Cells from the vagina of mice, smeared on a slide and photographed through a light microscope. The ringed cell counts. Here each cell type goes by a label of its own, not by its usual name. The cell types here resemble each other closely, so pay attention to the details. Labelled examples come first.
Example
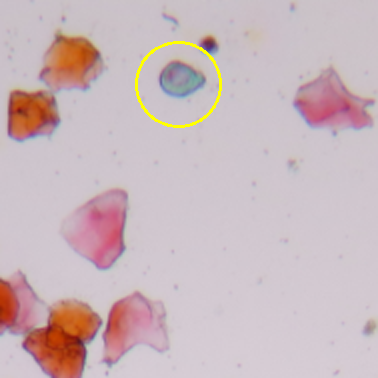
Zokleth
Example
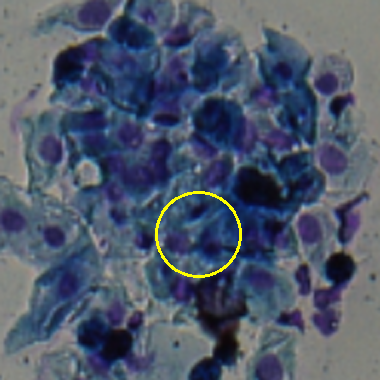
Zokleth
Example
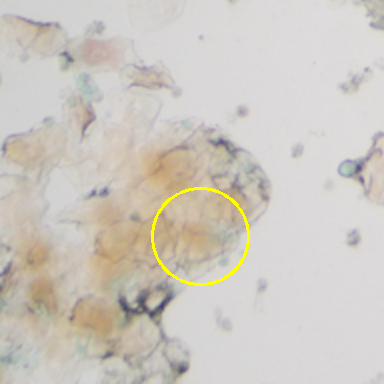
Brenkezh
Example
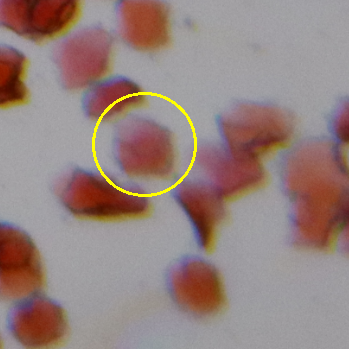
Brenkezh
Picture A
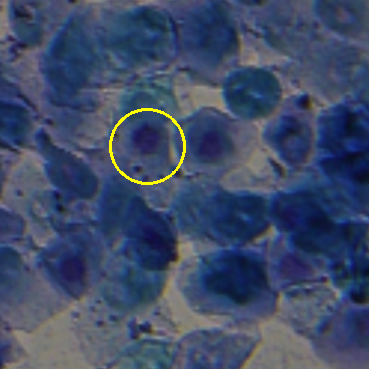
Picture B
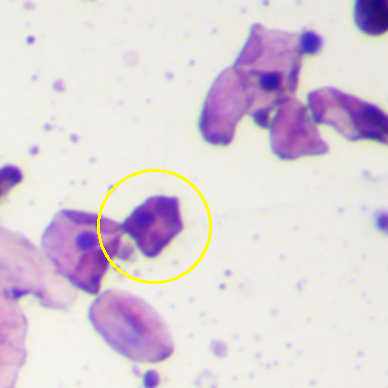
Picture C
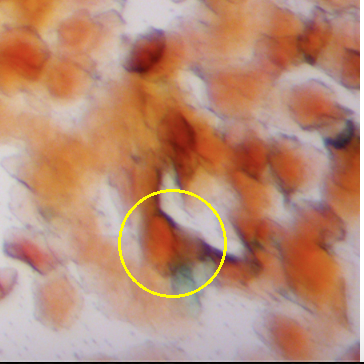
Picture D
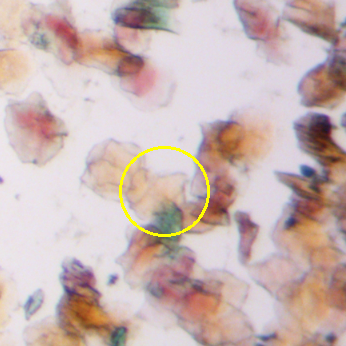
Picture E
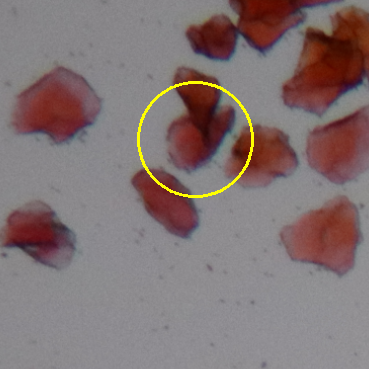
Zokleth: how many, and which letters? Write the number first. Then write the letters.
2, namely A, B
